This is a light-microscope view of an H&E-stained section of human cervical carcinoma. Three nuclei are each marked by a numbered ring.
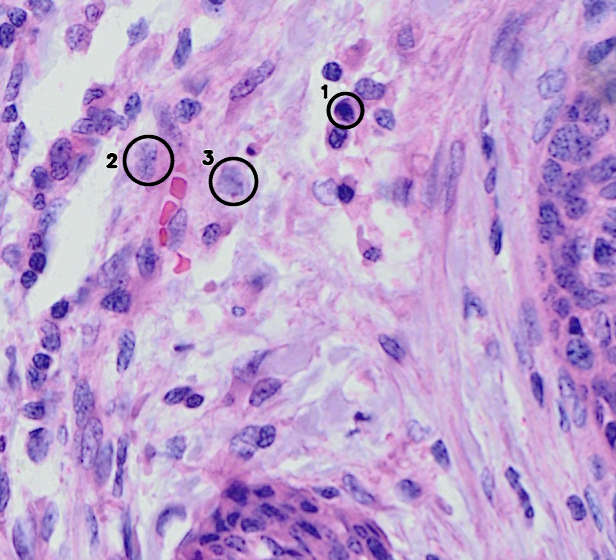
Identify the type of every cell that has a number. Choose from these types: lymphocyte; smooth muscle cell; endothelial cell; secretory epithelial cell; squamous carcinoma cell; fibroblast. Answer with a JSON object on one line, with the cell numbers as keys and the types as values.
{"1": "lymphocyte", "2": "endothelial cell", "3": "fibroblast"}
